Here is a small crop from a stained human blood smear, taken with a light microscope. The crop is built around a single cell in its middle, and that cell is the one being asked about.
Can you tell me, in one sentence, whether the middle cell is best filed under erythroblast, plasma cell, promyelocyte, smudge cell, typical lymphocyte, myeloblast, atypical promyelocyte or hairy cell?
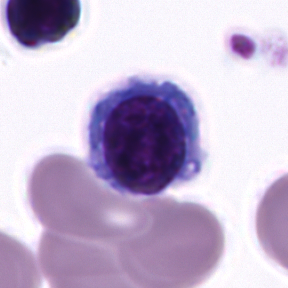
The cell in the exact centre of the crop is a plasma cell.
